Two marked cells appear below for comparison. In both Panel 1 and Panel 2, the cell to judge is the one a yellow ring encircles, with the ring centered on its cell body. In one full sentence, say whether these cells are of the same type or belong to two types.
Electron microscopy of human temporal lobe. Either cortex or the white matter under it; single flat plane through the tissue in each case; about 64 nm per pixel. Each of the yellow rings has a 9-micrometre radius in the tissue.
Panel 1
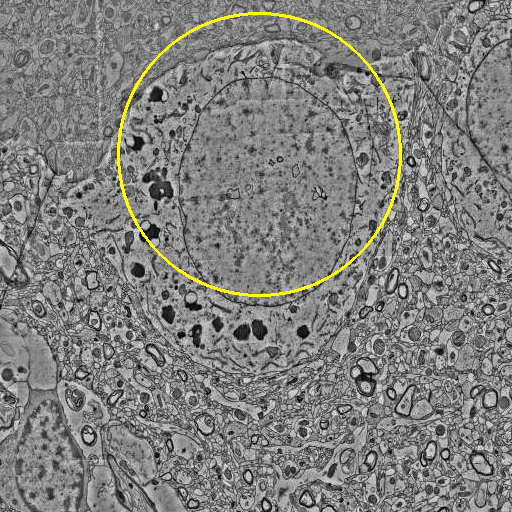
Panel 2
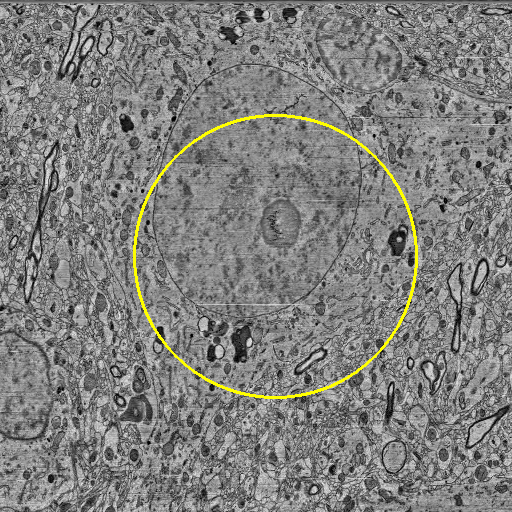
The cell centered in the Panel 1 ring and the one in Panel 2 are of the same type.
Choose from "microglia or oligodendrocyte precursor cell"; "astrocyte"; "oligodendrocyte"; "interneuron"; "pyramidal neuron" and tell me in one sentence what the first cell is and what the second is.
Each of the two pictures has a pyramidal neuron at the ring centre.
